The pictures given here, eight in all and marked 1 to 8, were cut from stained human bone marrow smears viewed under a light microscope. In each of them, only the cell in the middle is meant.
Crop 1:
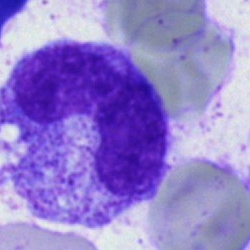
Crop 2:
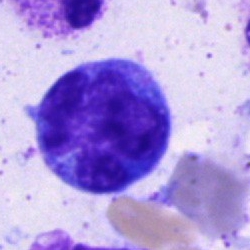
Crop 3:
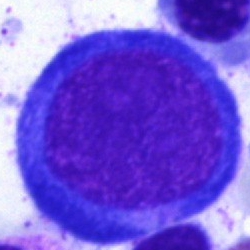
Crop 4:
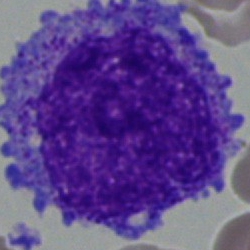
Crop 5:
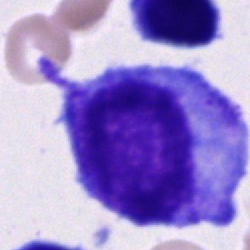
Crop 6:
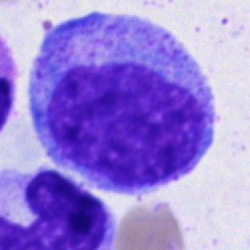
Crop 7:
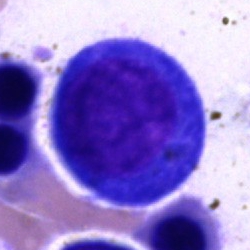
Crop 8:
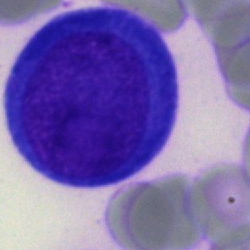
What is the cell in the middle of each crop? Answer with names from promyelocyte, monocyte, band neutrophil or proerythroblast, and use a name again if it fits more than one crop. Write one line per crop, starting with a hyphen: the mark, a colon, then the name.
- 1: band neutrophil
- 2: monocyte
- 3: proerythroblast
- 4: promyelocyte
- 5: promyelocyte
- 6: promyelocyte
- 7: proerythroblast
- 8: proerythroblast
